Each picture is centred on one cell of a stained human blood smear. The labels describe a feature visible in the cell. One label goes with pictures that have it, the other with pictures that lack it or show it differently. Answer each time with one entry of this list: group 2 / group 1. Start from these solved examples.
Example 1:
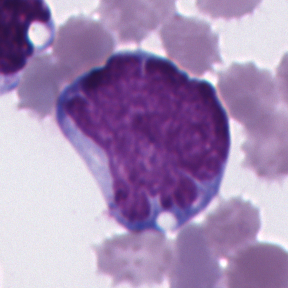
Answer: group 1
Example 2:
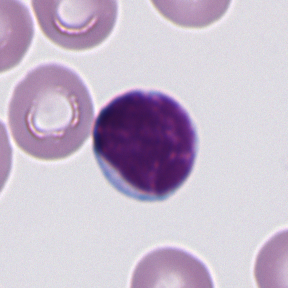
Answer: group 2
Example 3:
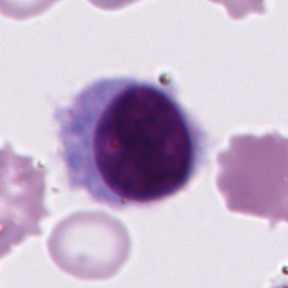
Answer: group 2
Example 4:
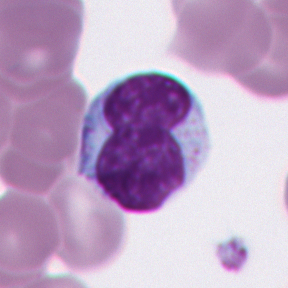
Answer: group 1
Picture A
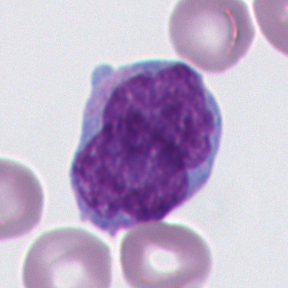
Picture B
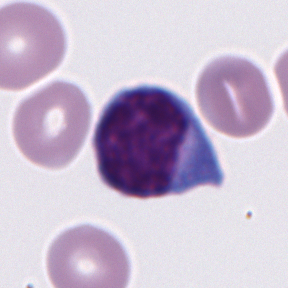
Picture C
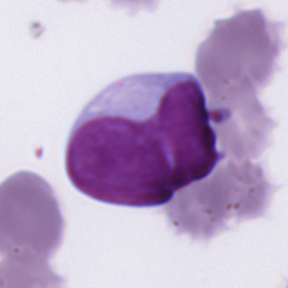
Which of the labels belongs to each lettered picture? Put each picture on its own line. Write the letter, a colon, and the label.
A: group 1
B: group 2
C: group 1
